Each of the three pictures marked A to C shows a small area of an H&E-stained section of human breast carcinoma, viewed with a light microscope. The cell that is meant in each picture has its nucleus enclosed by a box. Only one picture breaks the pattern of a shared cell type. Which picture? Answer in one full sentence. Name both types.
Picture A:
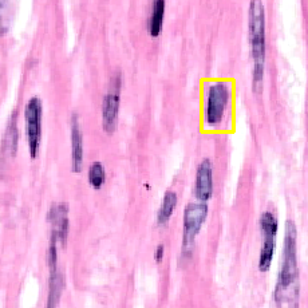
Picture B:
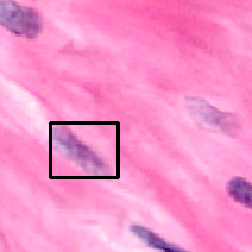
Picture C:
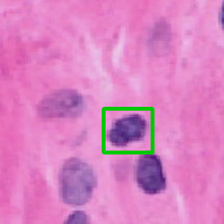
Picture B differs, because its cell is a fibroblast and the rest are lymphocytes.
